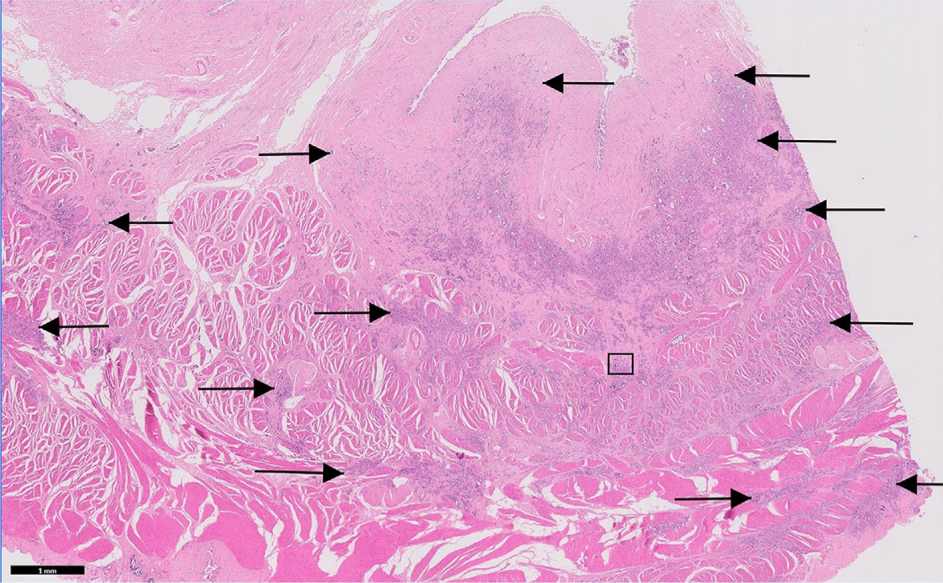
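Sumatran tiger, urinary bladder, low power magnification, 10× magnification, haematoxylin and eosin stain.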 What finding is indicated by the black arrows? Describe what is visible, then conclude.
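The arrows point to basophilic, purple cellular areas among the pink tissue. These purple areas lie between and among bundles of smooth muscle deep in the wall. Such areas extend from the upper surface layers toward the lower outer edge. That points to this answer: Neoplastic infiltrates.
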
